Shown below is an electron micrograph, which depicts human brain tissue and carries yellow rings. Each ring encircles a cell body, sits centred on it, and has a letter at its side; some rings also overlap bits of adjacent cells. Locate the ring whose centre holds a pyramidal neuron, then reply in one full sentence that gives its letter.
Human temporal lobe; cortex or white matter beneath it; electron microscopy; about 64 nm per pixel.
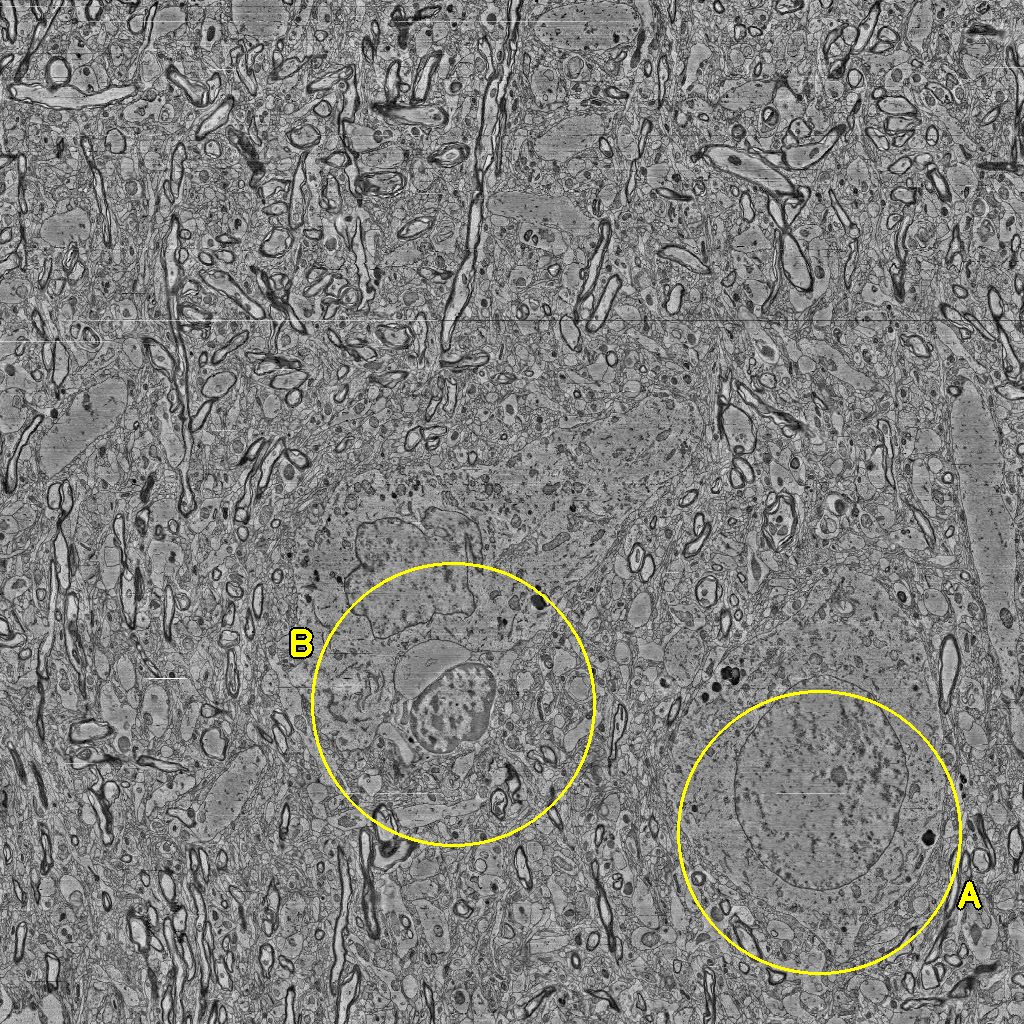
The ring centred on the cell asked for is the one marked A.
